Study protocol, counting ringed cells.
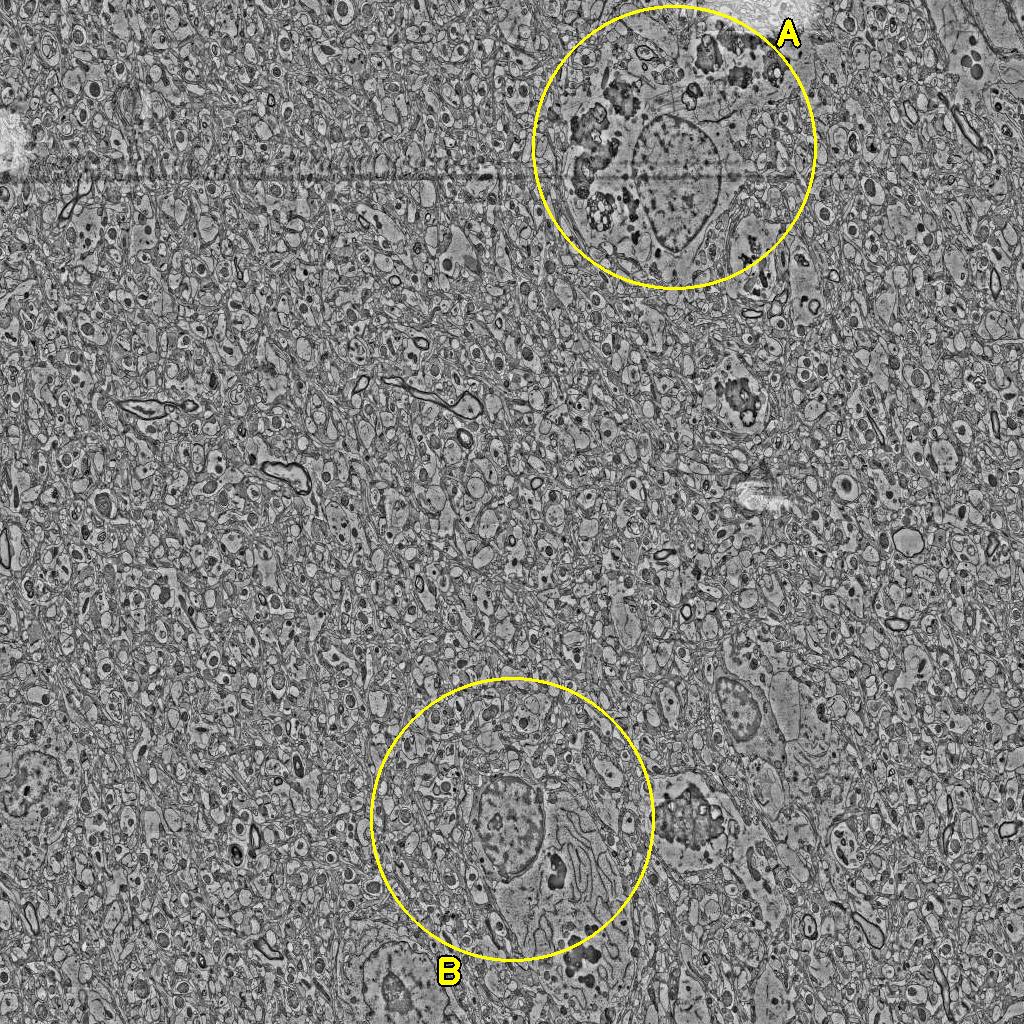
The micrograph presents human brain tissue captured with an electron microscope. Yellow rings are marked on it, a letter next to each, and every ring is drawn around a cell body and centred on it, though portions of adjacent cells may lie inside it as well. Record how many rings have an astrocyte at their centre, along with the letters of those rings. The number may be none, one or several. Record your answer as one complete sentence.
Beside the single ring centred on an astrocyte stands the letter A.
